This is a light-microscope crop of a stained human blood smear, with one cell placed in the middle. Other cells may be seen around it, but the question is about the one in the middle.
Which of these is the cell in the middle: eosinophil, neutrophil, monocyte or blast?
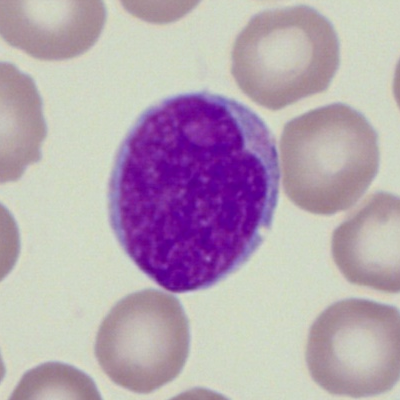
blast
